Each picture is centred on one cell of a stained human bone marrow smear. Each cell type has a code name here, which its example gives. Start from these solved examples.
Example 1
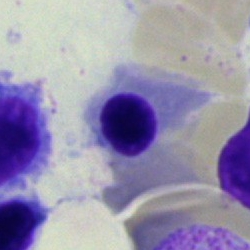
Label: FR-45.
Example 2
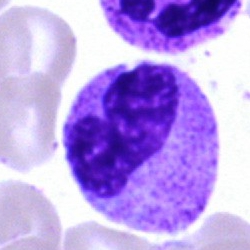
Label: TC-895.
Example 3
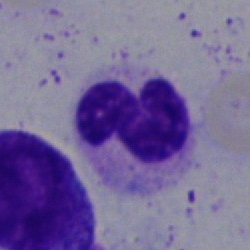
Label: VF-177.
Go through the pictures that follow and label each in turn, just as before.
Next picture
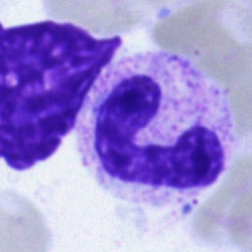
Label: TC-895.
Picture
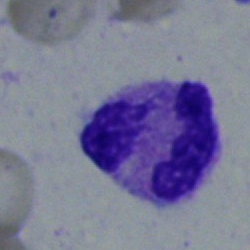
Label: VF-177.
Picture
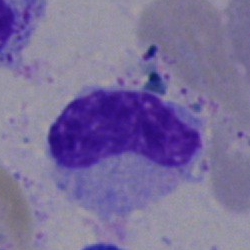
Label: TC-895.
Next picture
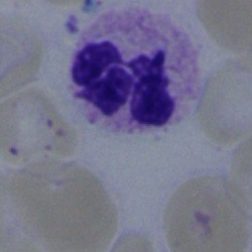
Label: VF-177.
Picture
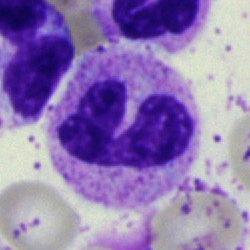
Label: VF-177.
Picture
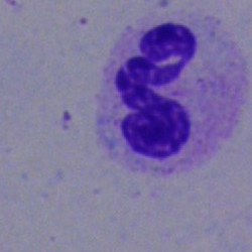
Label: VF-177.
